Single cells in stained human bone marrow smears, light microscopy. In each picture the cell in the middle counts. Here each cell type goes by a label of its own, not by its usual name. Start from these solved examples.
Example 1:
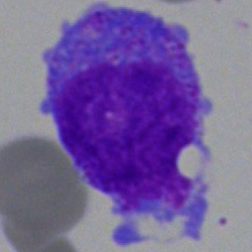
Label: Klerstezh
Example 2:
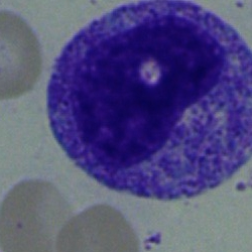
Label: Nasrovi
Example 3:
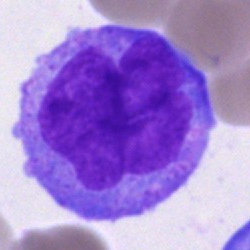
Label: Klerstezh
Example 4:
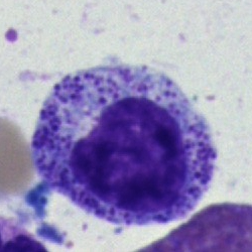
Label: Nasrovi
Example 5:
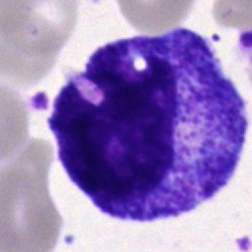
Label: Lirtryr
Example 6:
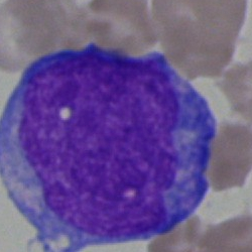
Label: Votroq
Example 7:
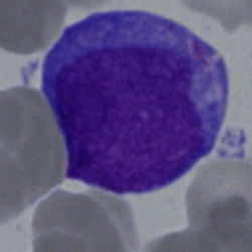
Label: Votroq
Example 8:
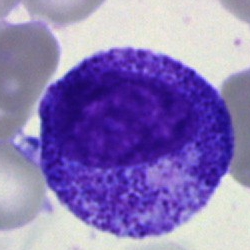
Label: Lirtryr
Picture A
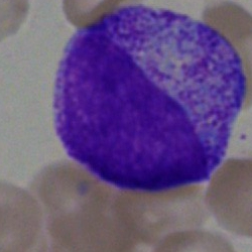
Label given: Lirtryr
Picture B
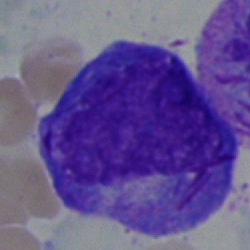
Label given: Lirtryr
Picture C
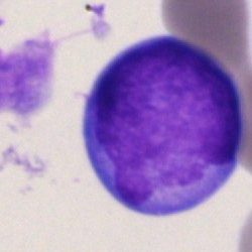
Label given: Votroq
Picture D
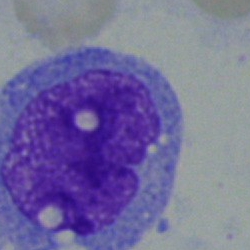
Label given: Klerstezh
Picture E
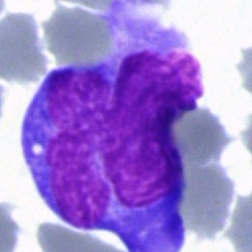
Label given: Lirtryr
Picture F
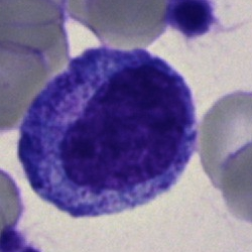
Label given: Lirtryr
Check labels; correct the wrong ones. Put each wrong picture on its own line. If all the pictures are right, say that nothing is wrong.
A: change Lirtryr to Nasrovi
E: change Lirtryr to Klerstezh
